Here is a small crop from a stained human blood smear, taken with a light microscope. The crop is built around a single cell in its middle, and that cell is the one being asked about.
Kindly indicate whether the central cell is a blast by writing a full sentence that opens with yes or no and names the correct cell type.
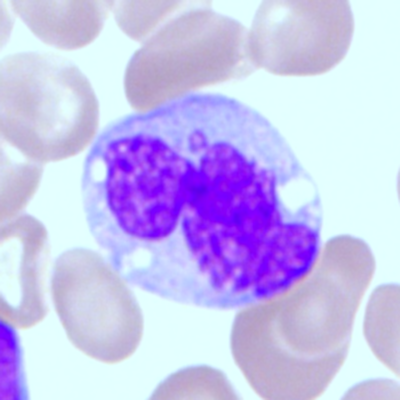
No, the central cell is identified not as a blast but as a monocyte.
